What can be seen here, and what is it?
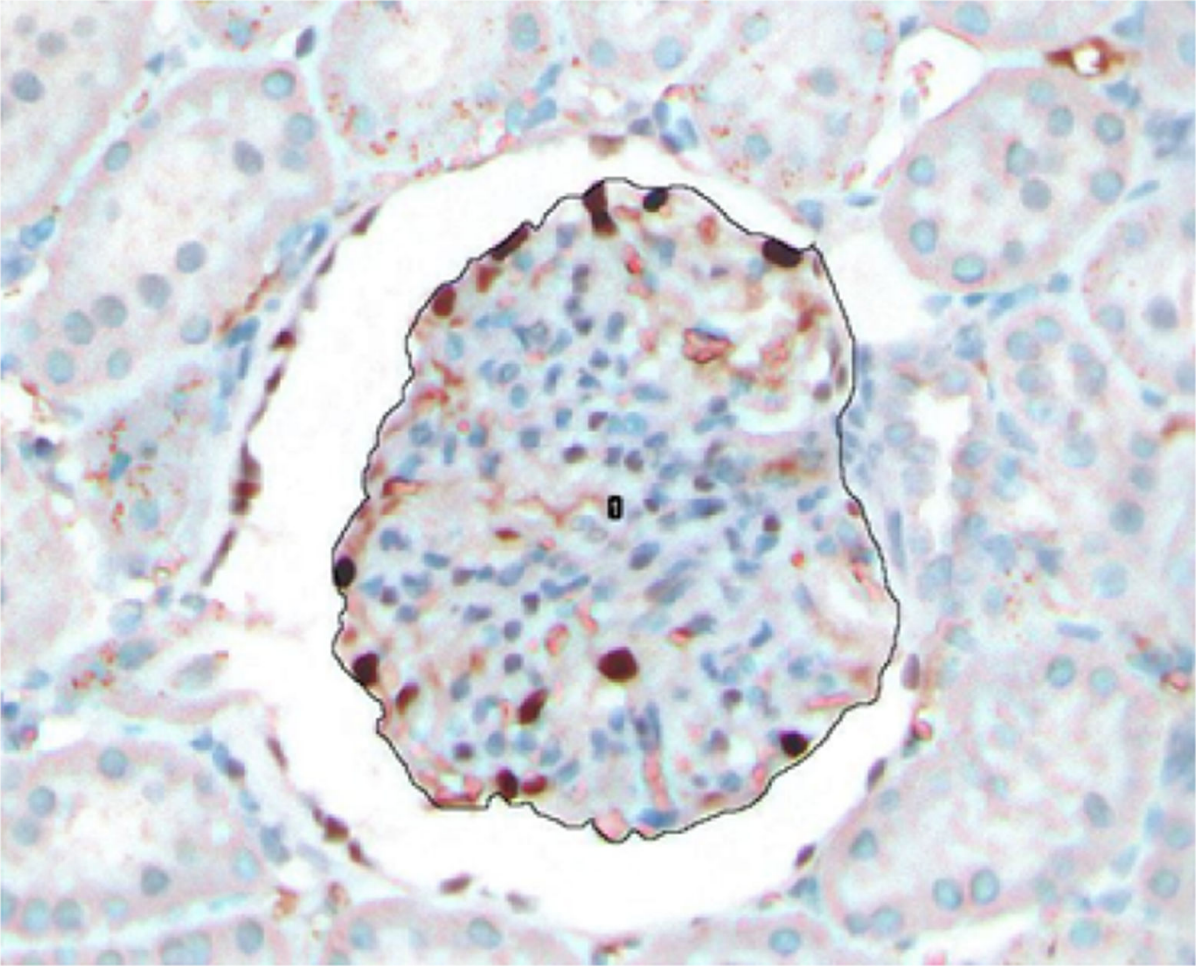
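The tuft is a rounded, lobulated mass of capillary loops packed with small blue nuclei. Some red blood cells lie within the capillaries. The brown nuclei are round to oval and sit mainly at the outer surface of the tuft. A clear crescent of space separates the tuft from a thin capsule lined by flattened cells. Around the glomerulus lie cross-sections of tubules made of cuboidal epithelial cells with round, pale blue nuclei and pale pink cytoplasm.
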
